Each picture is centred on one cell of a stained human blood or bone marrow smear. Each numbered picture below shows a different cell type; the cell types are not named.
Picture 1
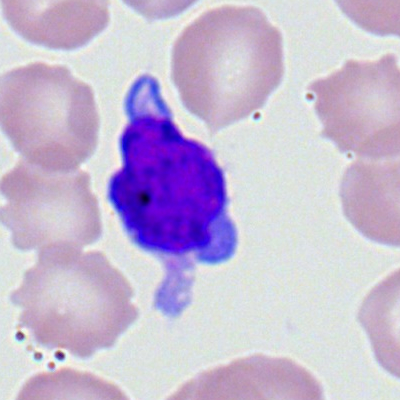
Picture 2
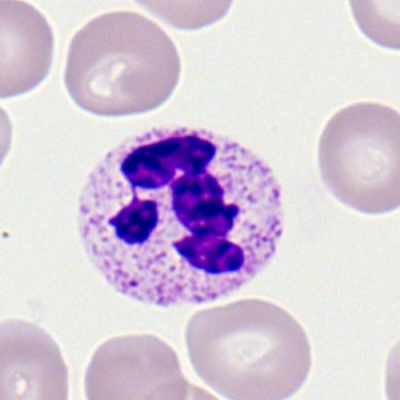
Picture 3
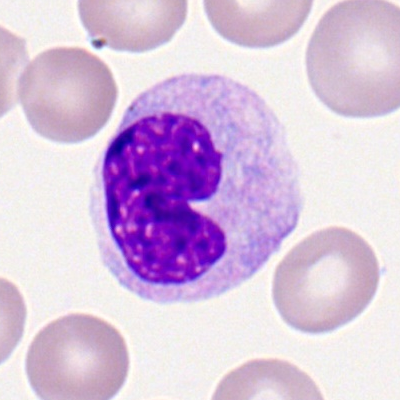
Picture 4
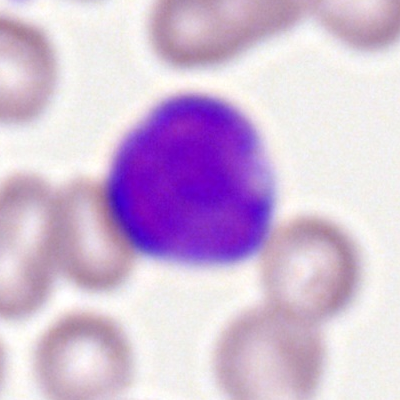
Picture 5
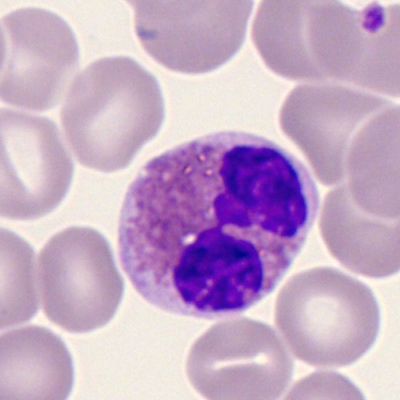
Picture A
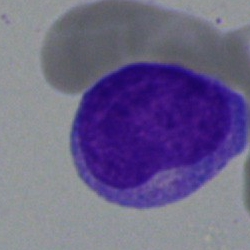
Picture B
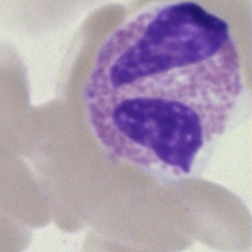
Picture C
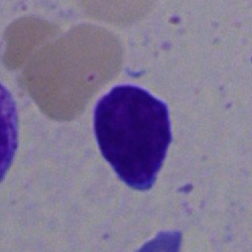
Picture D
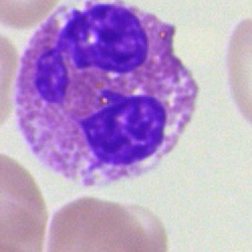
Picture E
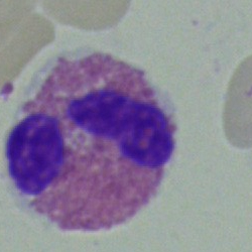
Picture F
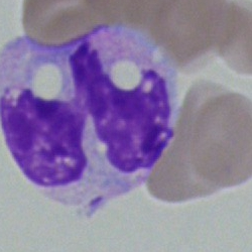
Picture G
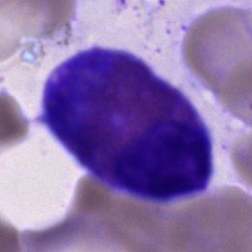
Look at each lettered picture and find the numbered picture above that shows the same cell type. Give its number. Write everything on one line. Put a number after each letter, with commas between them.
A 4, B 5, C 1, D 5, E 5, F 3, G 5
